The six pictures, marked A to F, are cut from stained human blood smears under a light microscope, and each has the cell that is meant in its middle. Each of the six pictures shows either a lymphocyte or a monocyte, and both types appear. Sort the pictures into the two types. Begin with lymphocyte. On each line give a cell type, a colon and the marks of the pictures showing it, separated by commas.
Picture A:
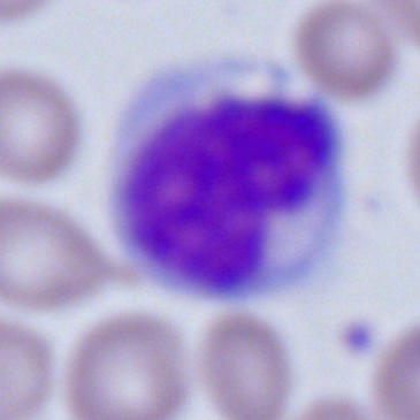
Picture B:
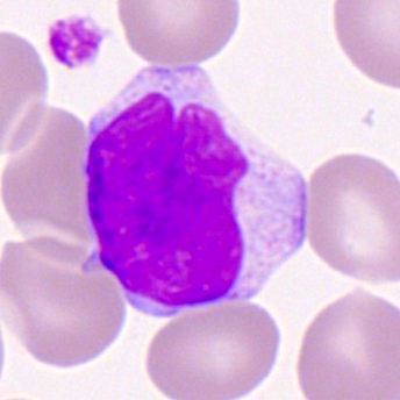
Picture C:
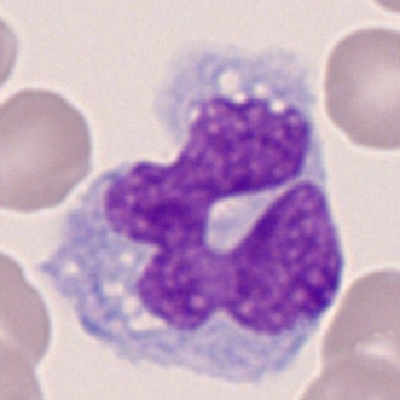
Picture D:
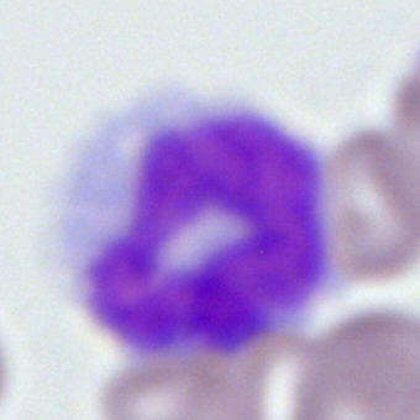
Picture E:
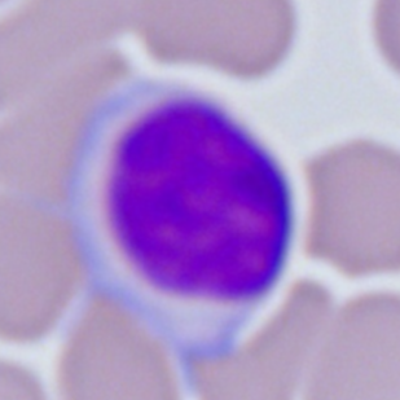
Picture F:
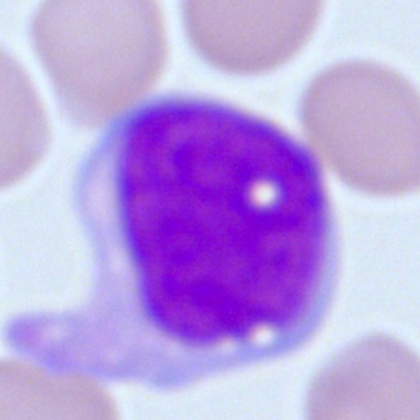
lymphocyte: B, E
monocyte: A, C, D, F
